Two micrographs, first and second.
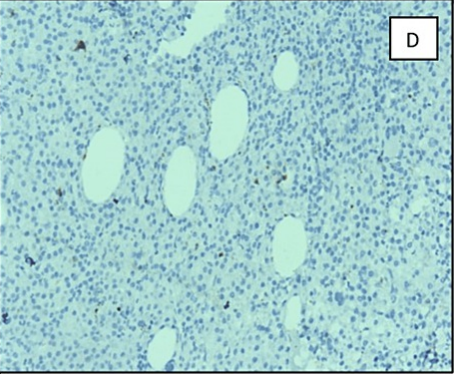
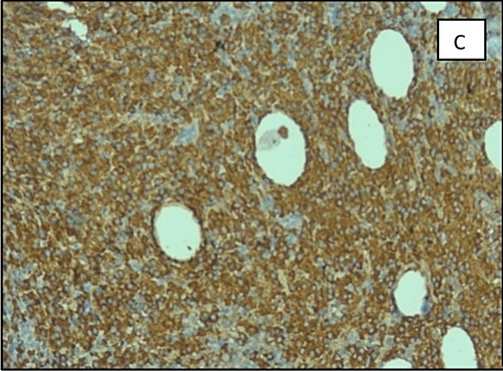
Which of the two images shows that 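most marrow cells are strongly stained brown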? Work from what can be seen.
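The second image. Second image: the packed marrow cells are diffusely and strongly brown.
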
